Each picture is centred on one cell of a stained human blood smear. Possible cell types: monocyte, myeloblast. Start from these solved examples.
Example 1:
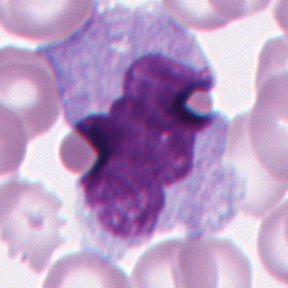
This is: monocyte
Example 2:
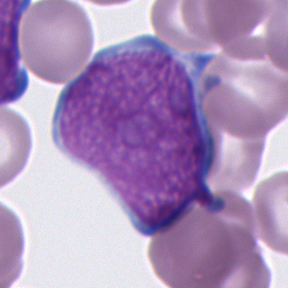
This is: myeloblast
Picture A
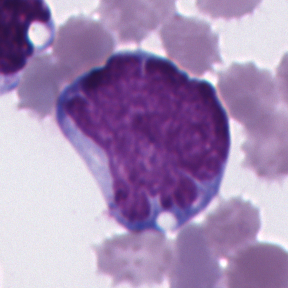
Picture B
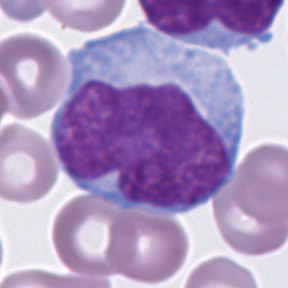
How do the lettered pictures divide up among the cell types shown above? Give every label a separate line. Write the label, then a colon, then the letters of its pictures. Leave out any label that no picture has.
myeloblast: A, B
